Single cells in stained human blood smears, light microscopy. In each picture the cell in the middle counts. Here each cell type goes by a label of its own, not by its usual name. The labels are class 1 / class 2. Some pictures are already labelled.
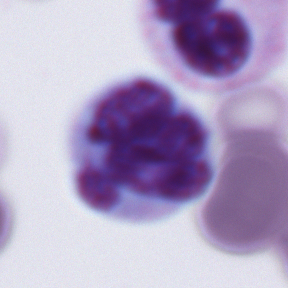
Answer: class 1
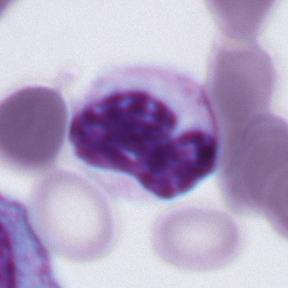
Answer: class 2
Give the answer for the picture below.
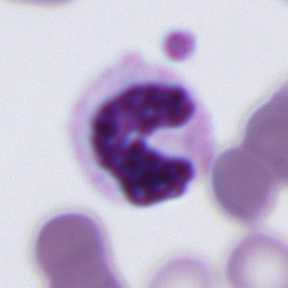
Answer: class 2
